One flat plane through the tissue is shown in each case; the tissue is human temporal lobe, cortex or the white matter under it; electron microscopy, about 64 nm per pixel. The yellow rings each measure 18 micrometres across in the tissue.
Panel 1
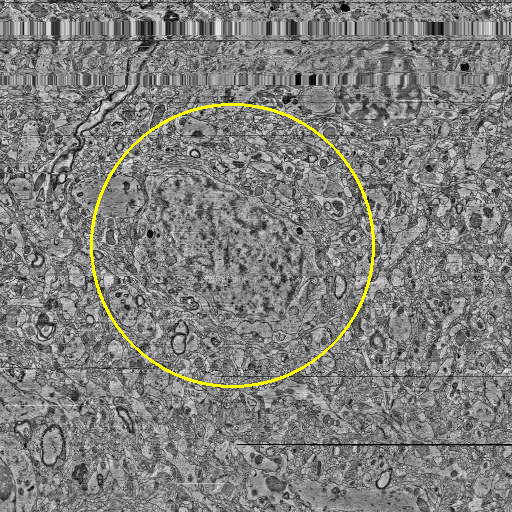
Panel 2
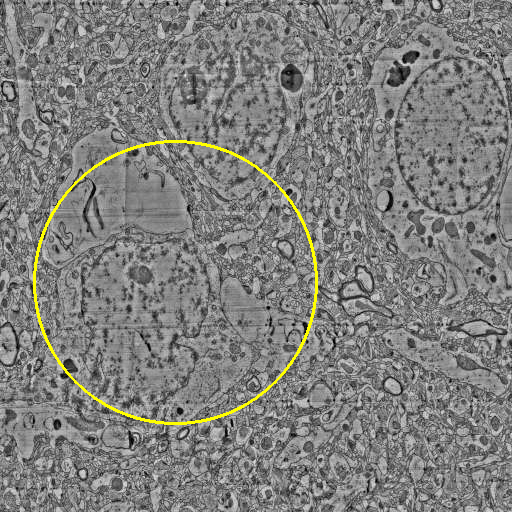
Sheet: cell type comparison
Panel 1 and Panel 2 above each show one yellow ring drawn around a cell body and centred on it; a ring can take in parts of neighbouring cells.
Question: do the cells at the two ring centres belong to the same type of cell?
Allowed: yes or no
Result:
yes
